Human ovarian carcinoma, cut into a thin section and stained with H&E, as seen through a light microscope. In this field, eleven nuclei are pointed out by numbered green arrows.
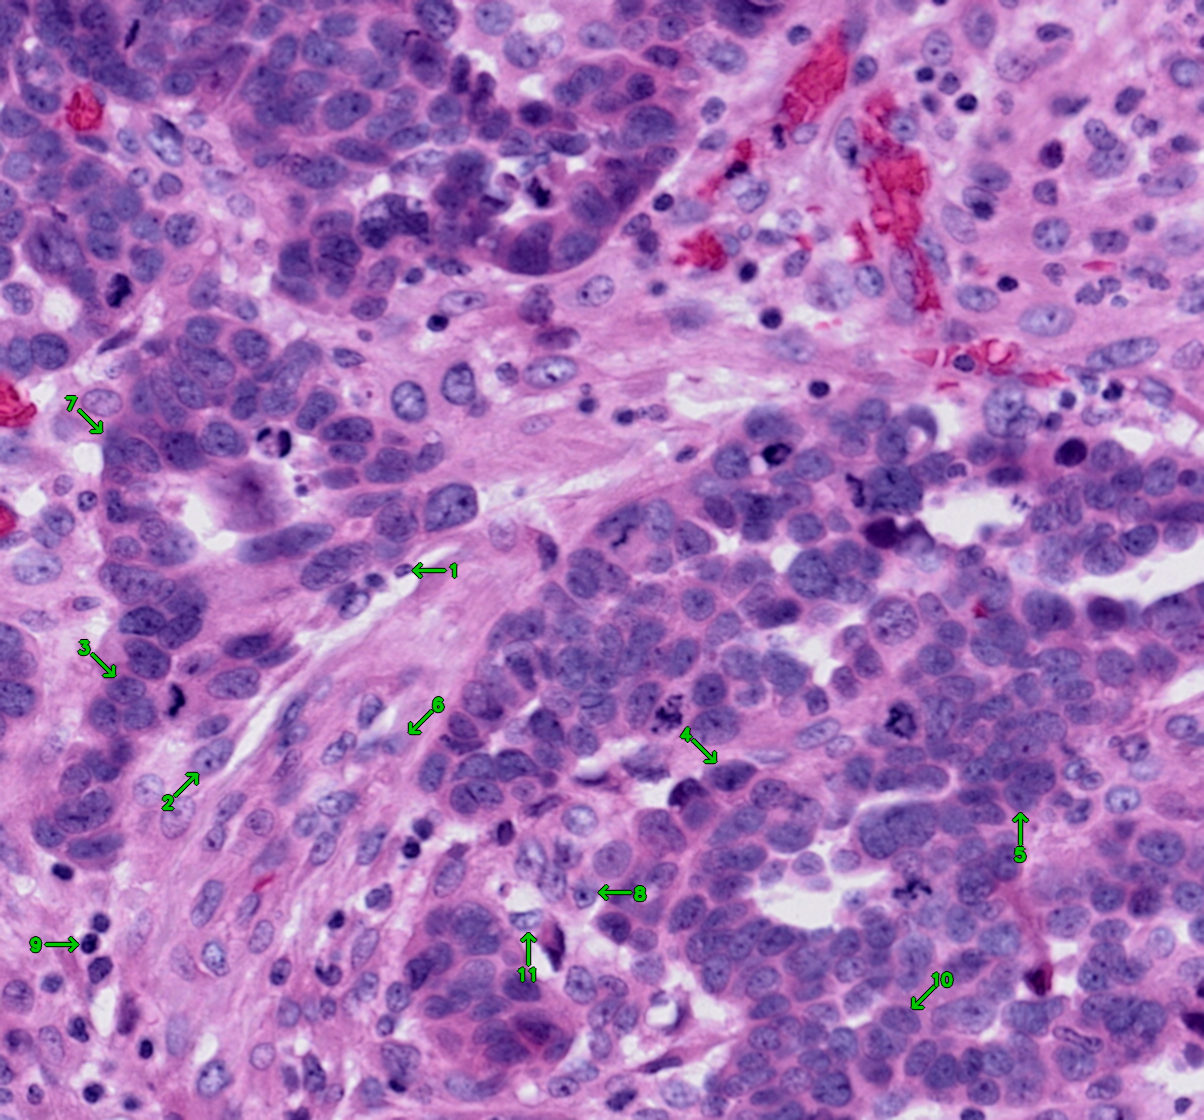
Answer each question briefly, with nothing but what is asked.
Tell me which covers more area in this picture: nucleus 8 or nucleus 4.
4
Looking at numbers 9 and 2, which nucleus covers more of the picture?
2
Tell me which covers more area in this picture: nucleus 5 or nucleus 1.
5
